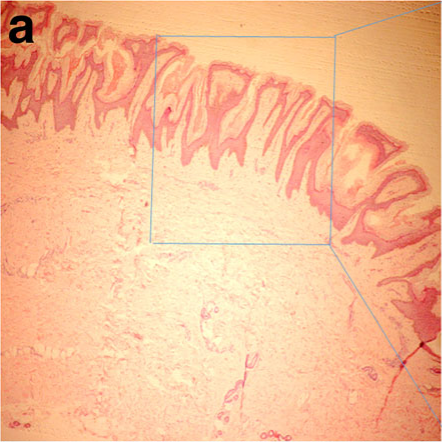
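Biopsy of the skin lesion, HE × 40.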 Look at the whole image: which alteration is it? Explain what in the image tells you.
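The epidermal surface is thrown into many upward folds. Long narrow finger-like projections of epidermis and papillary dermis rise along the surface.
Answer: papillomatosis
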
